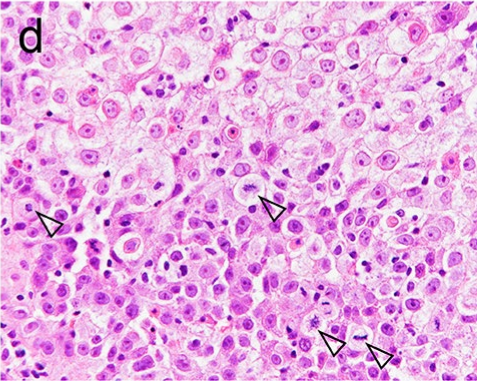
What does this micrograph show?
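This is a high-power view of tumor epithelium made of clear cells. The nuclei are enlarged, vary in size, and many show a distinct nucleolus. Among these cells lie several with dark, clumped chromatin instead of a normal nucleus, which are cells in division. Small dark round nuclei of scattered inflammatory cells are mixed in between the tumor cells.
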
